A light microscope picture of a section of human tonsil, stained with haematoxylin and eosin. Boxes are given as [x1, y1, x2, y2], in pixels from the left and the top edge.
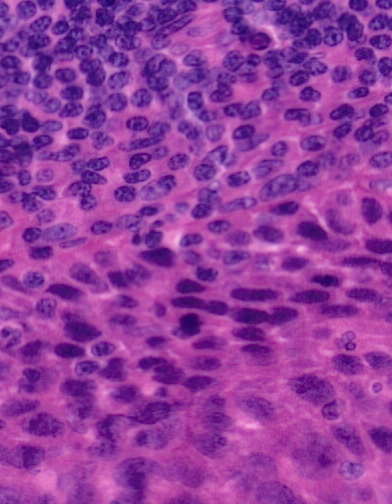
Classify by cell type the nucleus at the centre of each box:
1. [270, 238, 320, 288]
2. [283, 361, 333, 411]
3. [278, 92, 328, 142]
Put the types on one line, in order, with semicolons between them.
squamous epithelial cell; squamous epithelial cell; plasma cell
